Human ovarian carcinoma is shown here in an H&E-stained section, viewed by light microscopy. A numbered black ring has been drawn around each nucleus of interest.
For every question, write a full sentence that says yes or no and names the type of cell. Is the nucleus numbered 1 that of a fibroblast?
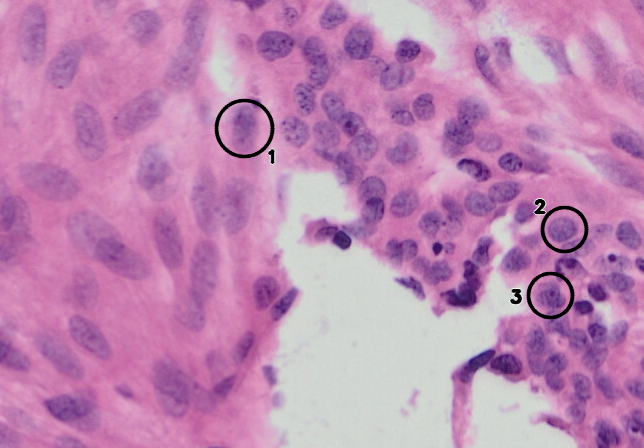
Yes, the cell that bears the number 1 is a fibroblast.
